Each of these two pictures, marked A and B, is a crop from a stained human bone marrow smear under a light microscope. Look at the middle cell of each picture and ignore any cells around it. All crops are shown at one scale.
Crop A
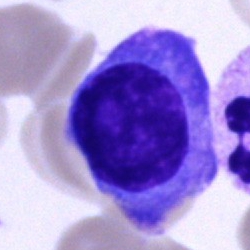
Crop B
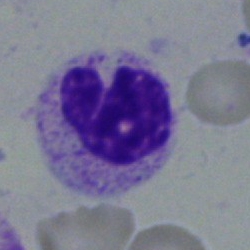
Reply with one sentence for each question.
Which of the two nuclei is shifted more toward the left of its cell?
In crop A the nucleus is shifted more toward the left.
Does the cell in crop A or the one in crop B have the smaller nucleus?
Smaller is the nucleus in crop B, and the other is about 1.5 times as large in area.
